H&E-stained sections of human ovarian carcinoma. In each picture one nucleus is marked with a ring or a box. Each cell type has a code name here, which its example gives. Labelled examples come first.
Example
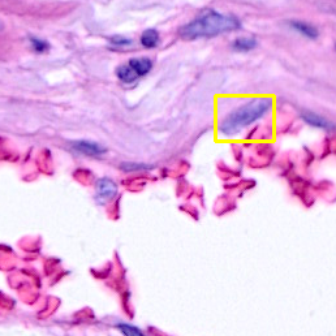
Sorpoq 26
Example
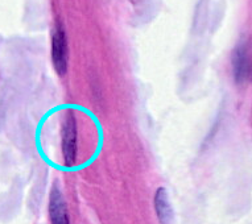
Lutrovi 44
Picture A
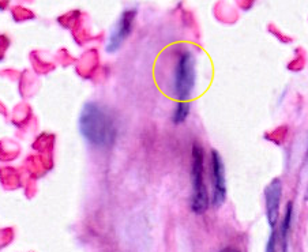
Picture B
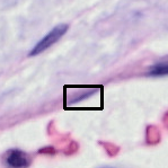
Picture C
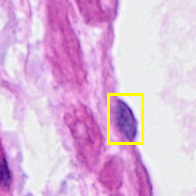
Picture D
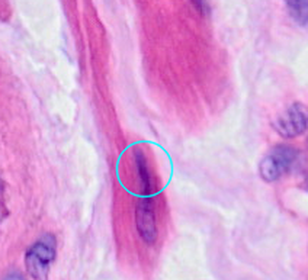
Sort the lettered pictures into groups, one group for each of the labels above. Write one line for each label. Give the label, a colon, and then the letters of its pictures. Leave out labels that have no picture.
Sorpoq 26: A, B, C
Lutrovi 44: D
